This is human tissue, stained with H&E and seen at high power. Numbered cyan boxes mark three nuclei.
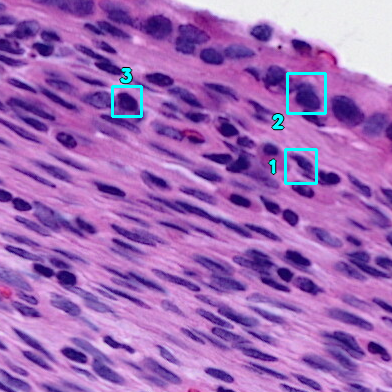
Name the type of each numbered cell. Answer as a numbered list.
1. fibroblast
2. secretory epithelial cell
3. lymphocyte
